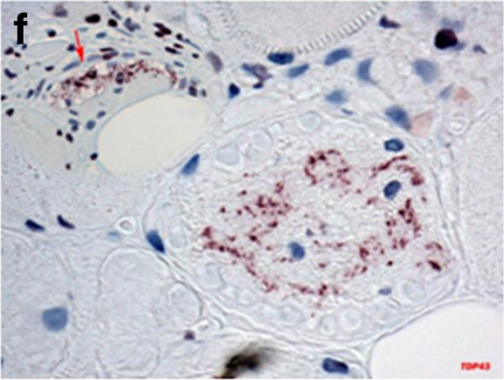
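Muscle fibers in cross-section with blue nuclei scattered at their edges and in the spaces between. In a large fiber at the center, fine red-purple granules are spread in a ring-like band through the cytoplasm, with several pale rounded areas within. At upper left, a smaller fiber holds a large empty round space, and a cluster of red-purple granules lies along its rim where a red arrow points. Small dark nuclei crowd the tissue around it. These are aggregates lying next to a rimmed vacuole and around cytoplasmic bodies.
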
